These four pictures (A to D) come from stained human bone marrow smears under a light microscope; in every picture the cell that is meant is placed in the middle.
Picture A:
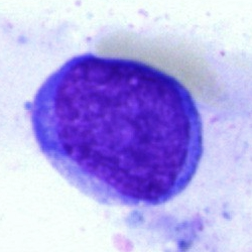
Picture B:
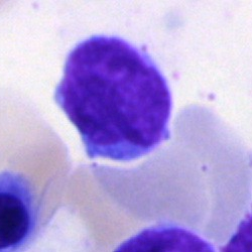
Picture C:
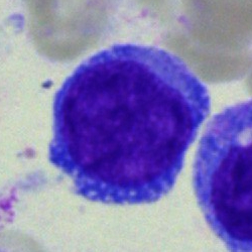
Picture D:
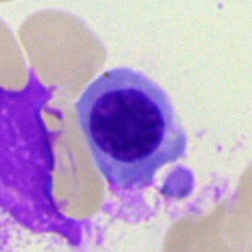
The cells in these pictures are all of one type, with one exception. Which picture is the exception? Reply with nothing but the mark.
D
